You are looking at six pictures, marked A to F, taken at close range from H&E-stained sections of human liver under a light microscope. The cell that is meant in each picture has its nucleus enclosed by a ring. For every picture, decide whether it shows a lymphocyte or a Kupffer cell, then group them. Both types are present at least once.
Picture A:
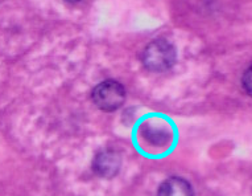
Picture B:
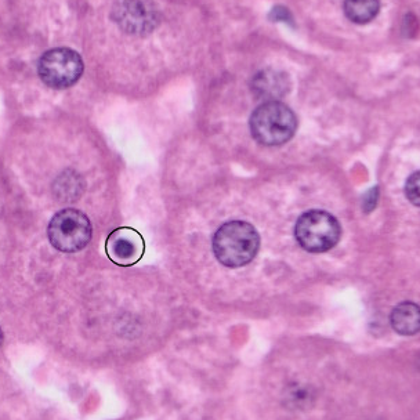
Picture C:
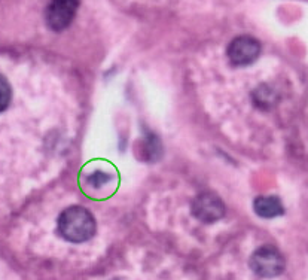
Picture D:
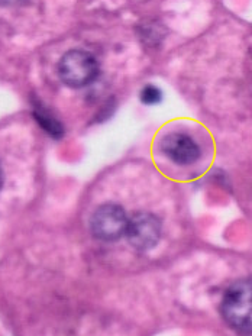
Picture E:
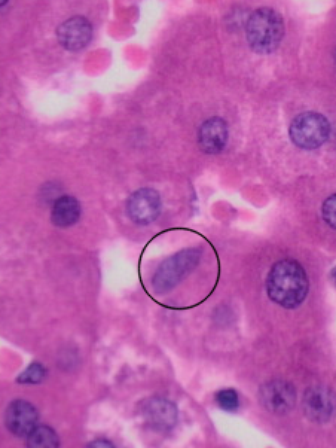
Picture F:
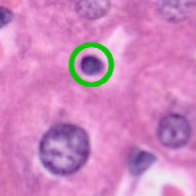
A: Kupffer cell
B: lymphocyte
C: lymphocyte
D: Kupffer cell
E: Kupffer cell
F: lymphocyte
